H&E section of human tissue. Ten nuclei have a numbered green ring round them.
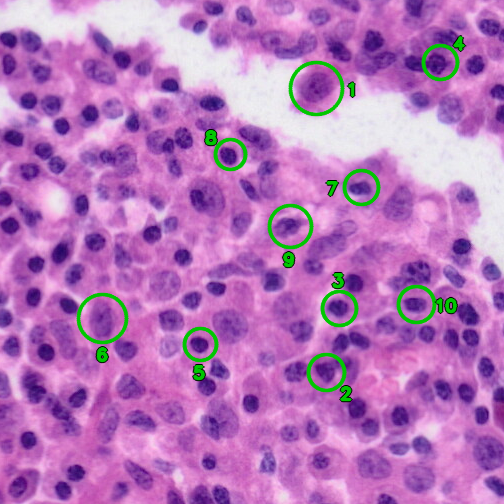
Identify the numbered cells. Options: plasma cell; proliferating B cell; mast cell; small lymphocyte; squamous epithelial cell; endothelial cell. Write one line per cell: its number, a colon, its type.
1: squamous epithelial cell
2: plasma cell
3: plasma cell
4: plasma cell
5: plasma cell
6: squamous epithelial cell
7: squamous epithelial cell
8: plasma cell
9: squamous epithelial cell
10: plasma cell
